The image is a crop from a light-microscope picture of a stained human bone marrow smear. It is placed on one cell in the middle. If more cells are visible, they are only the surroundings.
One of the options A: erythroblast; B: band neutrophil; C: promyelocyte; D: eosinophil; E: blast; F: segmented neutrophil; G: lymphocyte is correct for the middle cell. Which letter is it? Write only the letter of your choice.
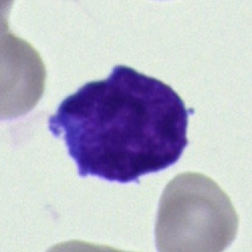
E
